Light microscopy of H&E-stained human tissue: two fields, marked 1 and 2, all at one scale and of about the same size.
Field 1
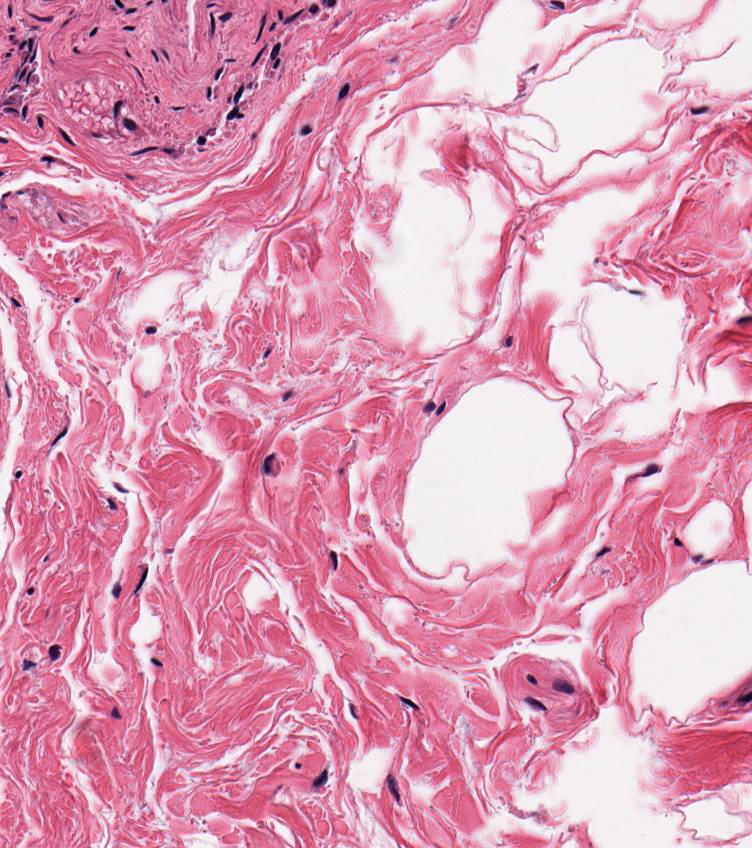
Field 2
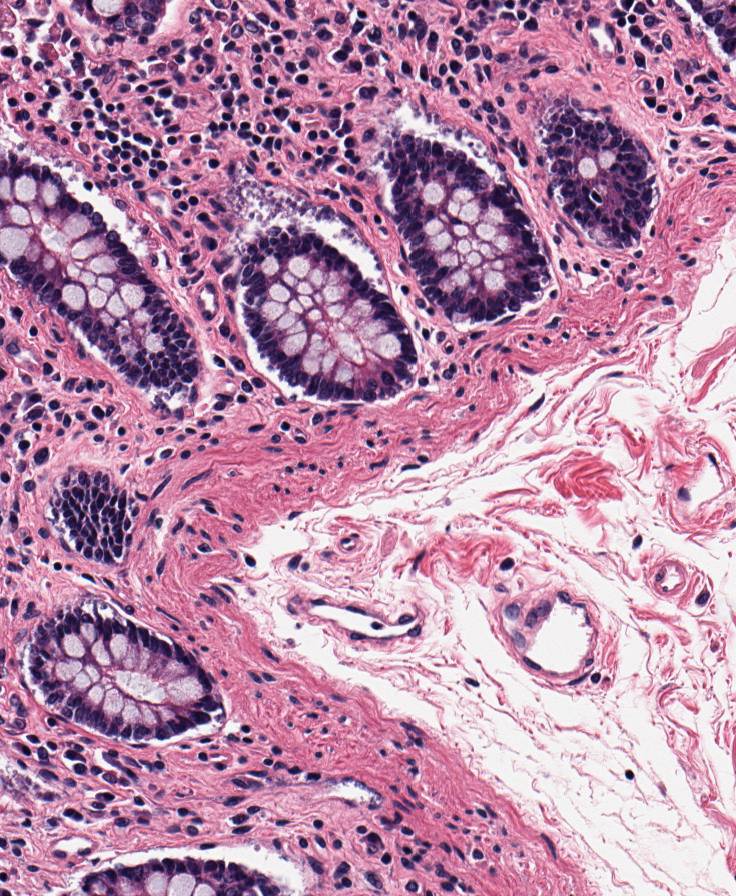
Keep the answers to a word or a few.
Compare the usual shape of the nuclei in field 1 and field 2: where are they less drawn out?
2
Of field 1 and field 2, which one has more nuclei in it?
2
